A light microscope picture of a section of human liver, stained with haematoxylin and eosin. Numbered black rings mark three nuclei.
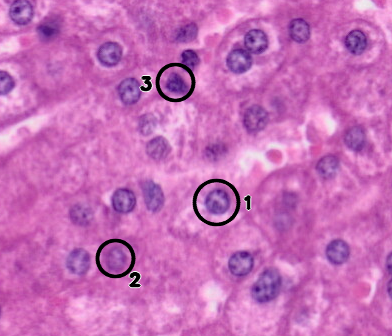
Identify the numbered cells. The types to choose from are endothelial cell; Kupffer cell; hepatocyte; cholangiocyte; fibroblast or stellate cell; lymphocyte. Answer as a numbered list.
1. hepatocyte
2. hepatocyte
3. fibroblast or stellate cell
